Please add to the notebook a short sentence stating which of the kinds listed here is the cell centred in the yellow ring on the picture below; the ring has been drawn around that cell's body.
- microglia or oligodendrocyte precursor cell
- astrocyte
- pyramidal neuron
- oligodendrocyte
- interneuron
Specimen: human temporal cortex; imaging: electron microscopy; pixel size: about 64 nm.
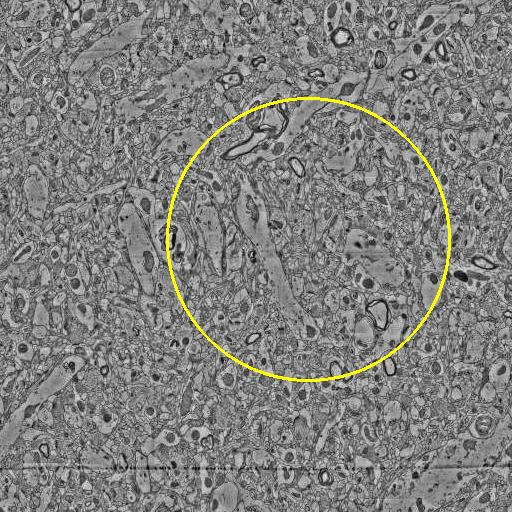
The cell centred in the yellow ring is a microglial cell or oligodendrocyte precursor cell.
